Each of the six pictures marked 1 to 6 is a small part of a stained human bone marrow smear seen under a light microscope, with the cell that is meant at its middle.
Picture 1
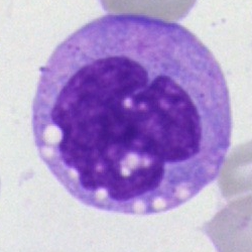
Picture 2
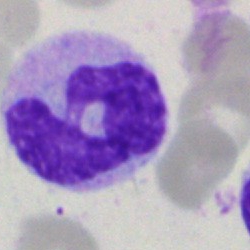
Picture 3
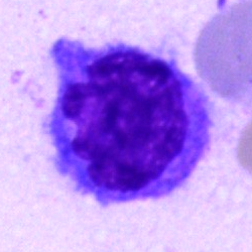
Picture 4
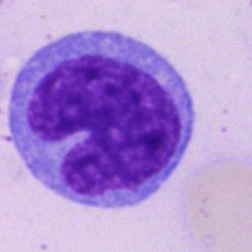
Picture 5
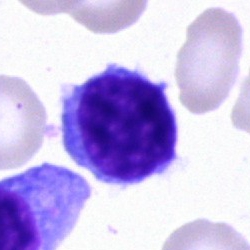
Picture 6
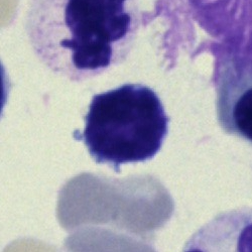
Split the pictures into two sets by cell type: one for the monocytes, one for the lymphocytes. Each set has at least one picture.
1: monocyte
2: monocyte
3: monocyte
4: monocyte
5: lymphocyte
6: lymphocyte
